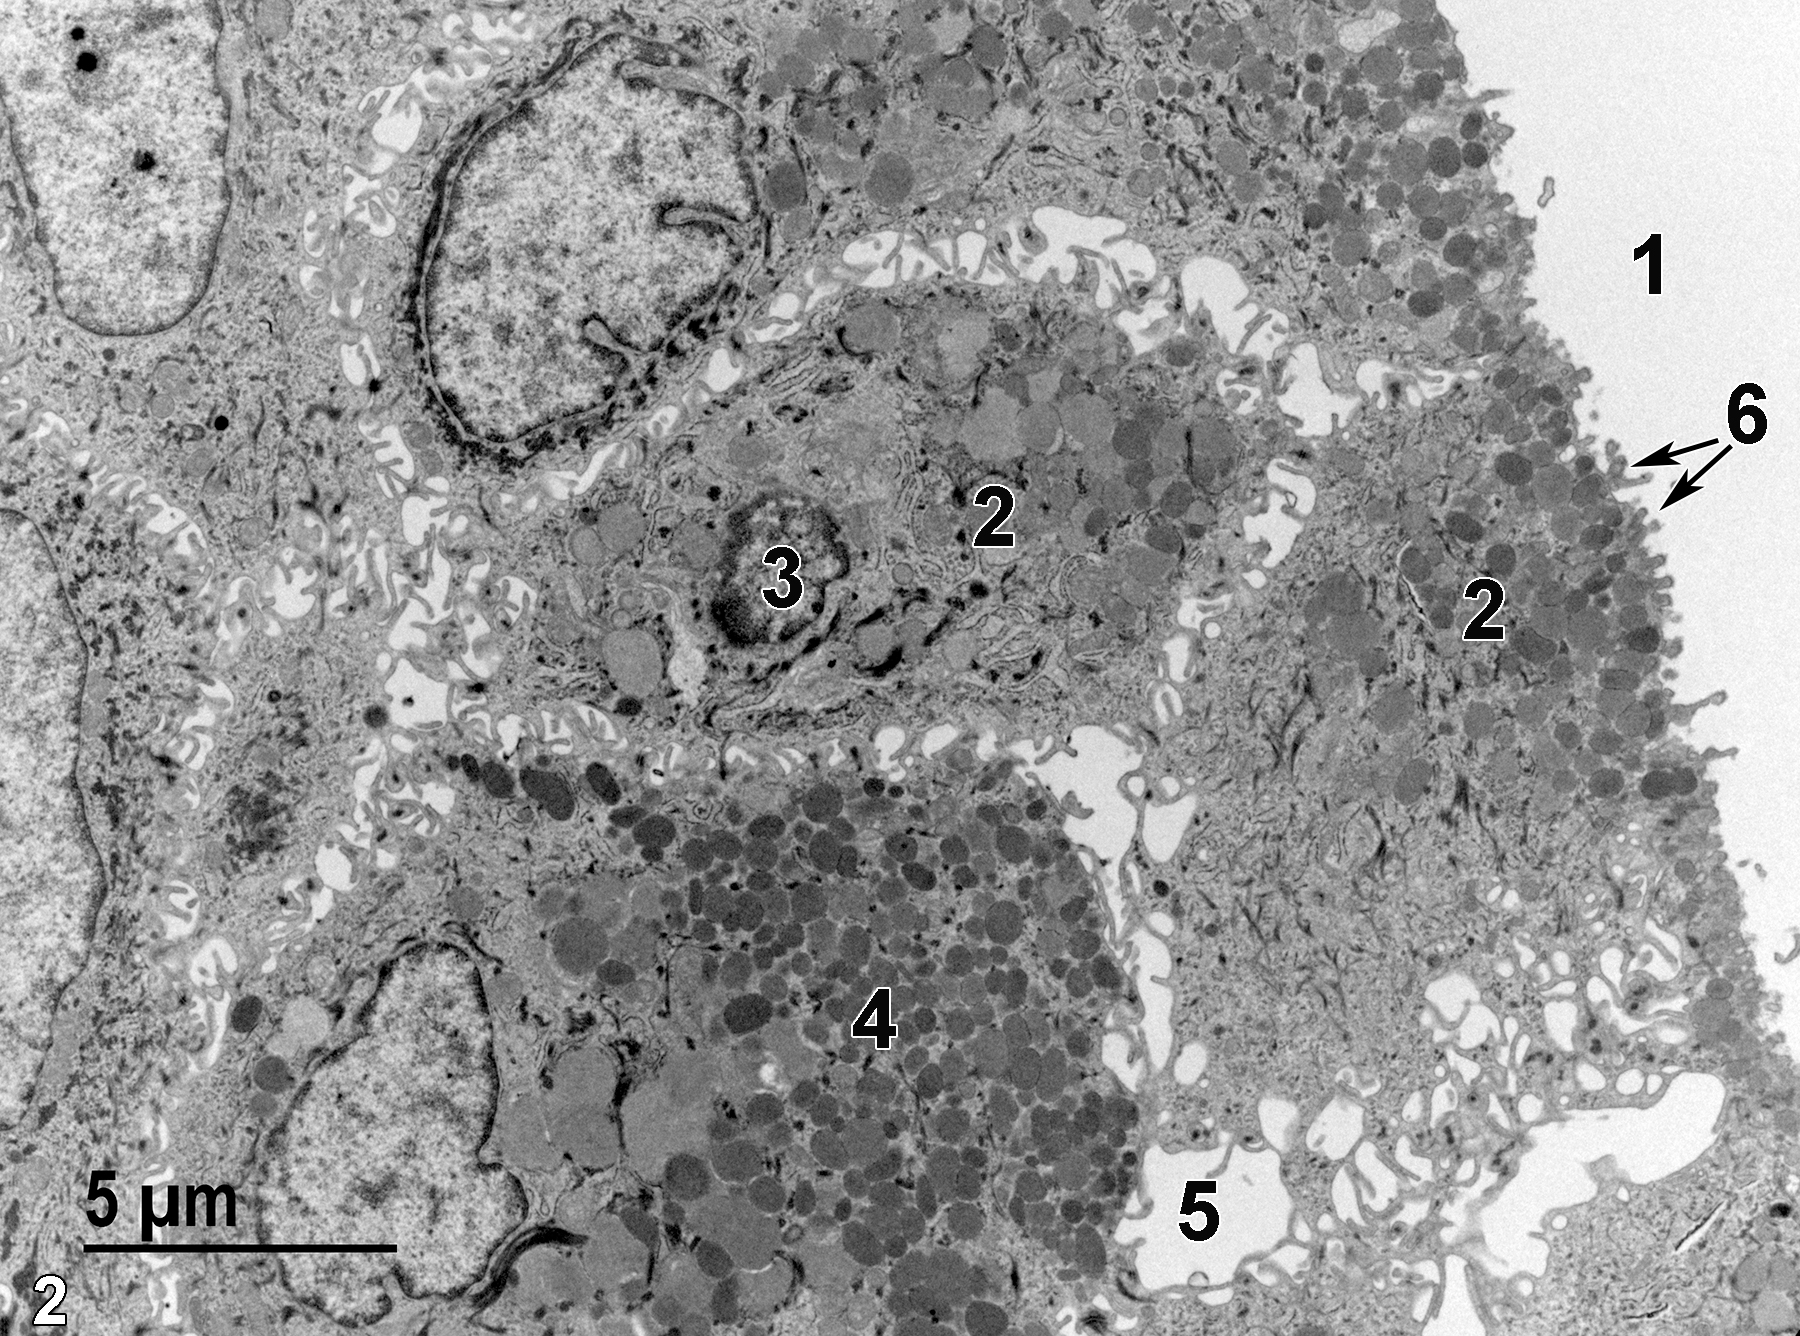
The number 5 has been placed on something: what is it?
Intercellular space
